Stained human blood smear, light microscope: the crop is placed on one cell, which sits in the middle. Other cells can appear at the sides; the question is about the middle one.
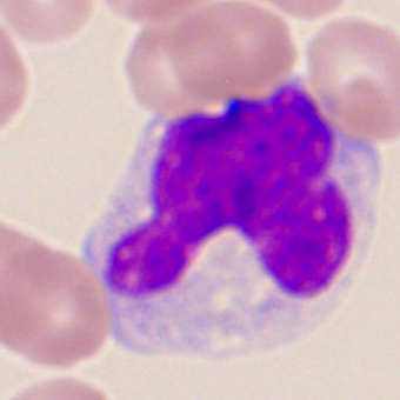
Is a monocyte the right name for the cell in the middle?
yes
